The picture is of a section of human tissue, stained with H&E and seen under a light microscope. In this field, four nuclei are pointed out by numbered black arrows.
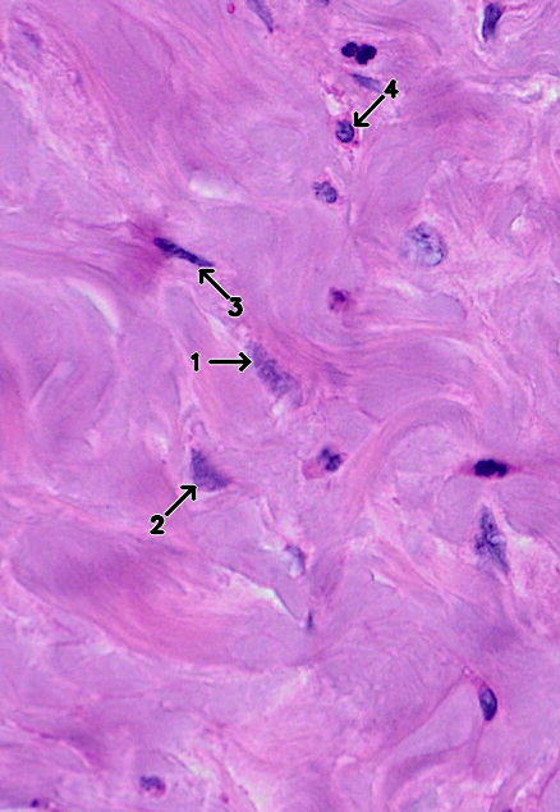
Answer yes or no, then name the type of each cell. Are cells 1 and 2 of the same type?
Yes, the two numbered cells, 1 and 2, are both fibroblasts.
